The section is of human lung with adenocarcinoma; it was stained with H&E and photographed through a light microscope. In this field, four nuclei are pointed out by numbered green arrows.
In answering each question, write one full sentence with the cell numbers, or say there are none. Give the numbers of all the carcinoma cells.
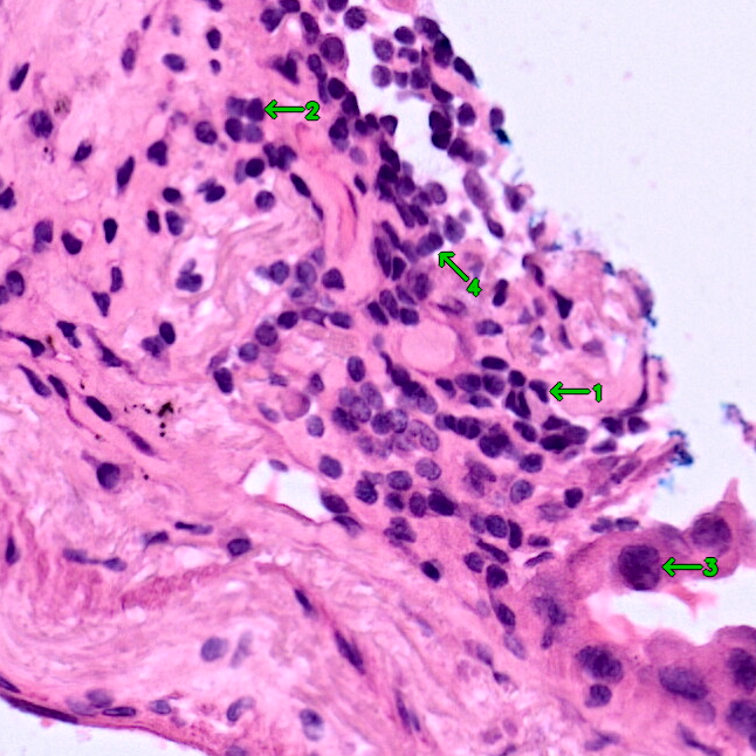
Among the marked cells, cell number 3 alone is a carcinoma cell.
